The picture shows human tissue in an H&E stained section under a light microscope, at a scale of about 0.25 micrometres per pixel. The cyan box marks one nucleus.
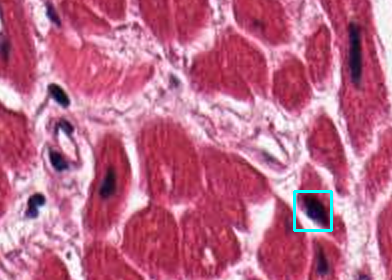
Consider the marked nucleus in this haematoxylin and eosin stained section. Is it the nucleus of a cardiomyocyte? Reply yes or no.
yes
